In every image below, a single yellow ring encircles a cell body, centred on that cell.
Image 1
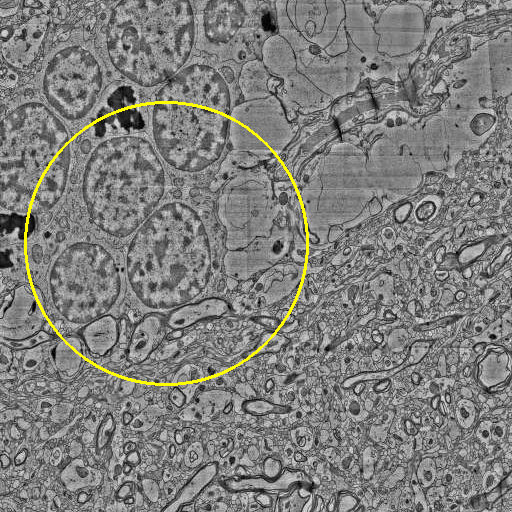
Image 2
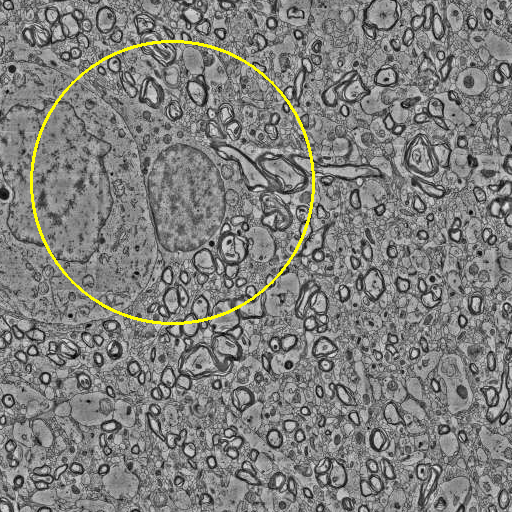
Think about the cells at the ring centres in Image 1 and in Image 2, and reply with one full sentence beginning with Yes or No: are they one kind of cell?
Yes, the cells centred in the rings of Image 1 and Image 2 are one kind of cell.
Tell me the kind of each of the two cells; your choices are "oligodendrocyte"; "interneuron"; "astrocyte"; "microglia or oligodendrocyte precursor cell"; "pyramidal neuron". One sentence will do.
Each of the two pictures has an oligodendrocyte at the ring centre.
